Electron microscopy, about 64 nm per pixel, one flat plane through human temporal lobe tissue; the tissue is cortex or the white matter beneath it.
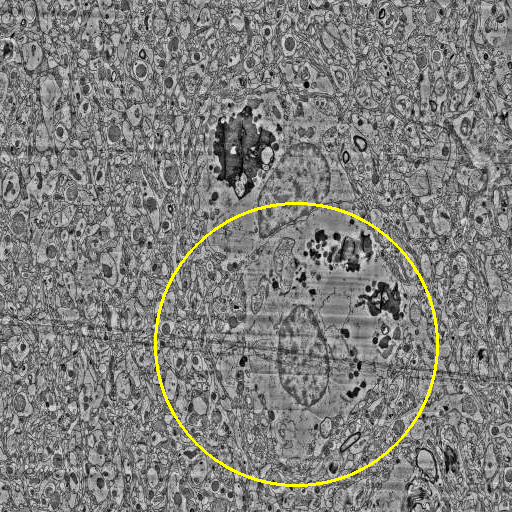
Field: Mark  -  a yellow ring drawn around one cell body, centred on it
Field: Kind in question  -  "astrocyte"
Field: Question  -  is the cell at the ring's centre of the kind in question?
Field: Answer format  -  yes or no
yes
